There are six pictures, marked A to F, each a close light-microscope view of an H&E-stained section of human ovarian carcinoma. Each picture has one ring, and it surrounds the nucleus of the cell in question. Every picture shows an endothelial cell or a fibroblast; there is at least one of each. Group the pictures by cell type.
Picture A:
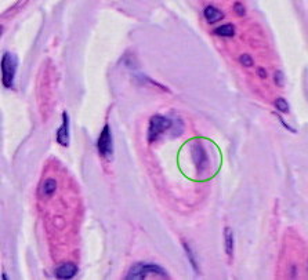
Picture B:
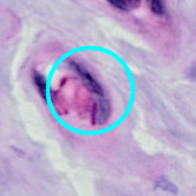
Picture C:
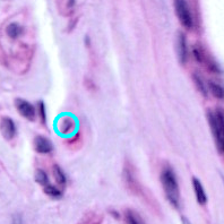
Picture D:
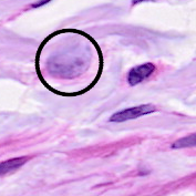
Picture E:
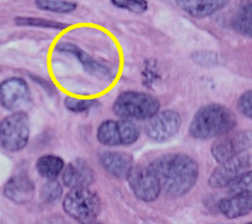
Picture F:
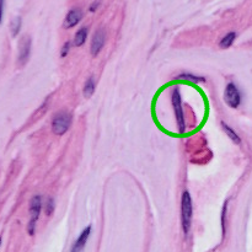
A: endothelial cell
B: endothelial cell
C: endothelial cell
D: fibroblast
E: fibroblast
F: endothelial cell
